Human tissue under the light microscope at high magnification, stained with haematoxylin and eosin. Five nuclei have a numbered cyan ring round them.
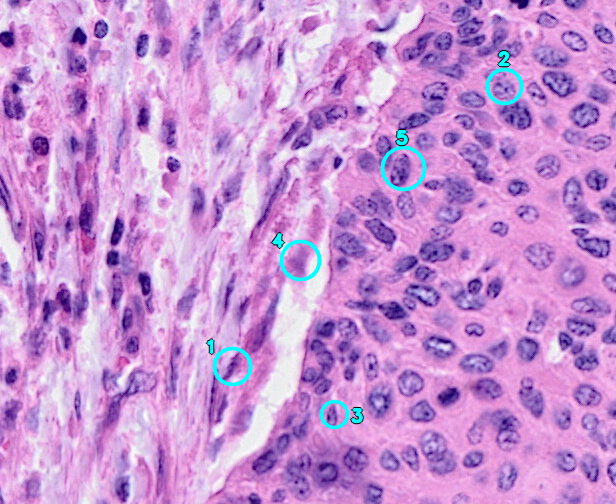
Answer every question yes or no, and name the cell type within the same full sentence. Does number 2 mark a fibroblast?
No, cell 2 is to be classed as a squamous carcinoma cell, not a fibroblast.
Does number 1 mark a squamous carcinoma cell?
No, the cell at marker 1 is not a squamous carcinoma cell; it is a fibroblast.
